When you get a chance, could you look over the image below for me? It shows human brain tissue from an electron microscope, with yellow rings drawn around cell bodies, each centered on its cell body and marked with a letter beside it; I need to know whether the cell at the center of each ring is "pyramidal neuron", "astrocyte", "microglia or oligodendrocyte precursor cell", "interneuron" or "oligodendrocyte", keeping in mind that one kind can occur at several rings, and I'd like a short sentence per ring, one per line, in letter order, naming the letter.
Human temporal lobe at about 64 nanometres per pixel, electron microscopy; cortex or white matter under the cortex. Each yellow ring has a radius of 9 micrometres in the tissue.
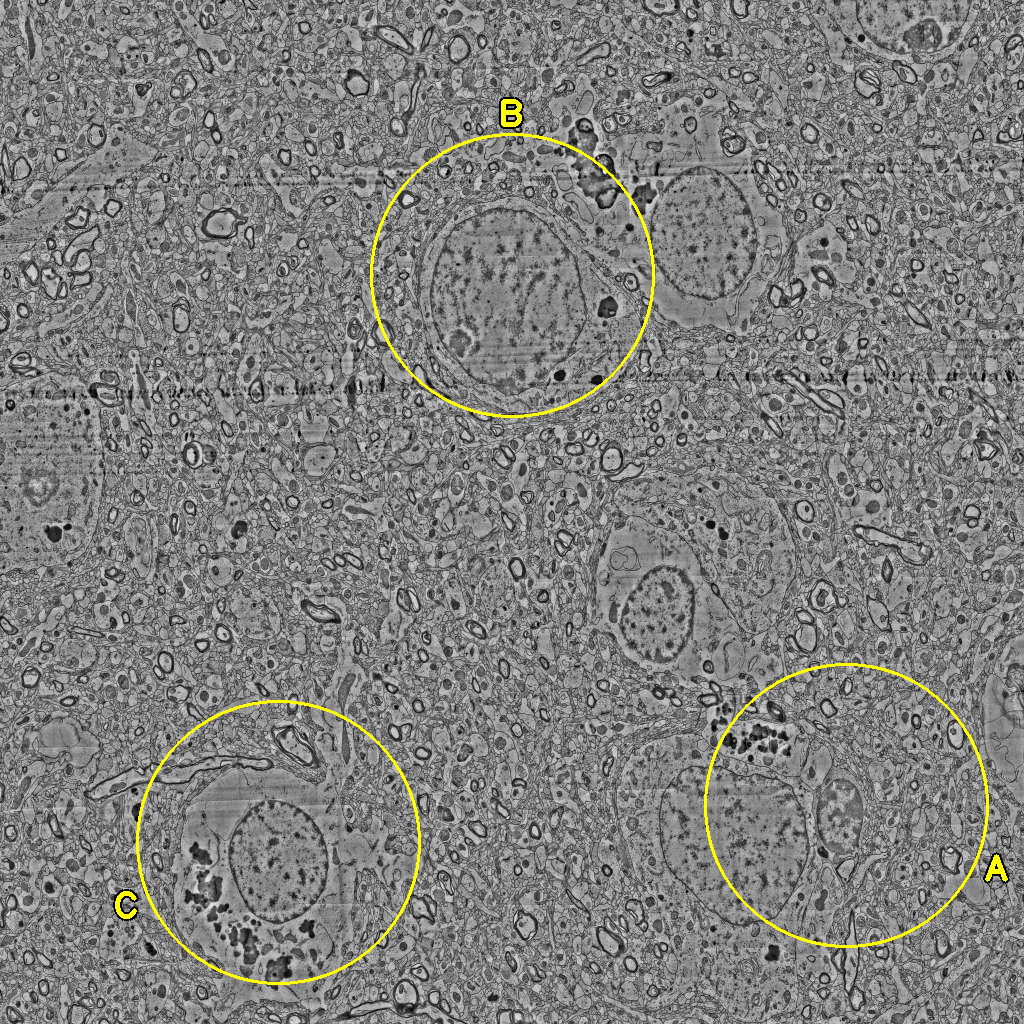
Ring A is centered on an oligodendrocyte.
Ring B is centered on a pyramidal neuron.
Ring C is centered on an astrocyte.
